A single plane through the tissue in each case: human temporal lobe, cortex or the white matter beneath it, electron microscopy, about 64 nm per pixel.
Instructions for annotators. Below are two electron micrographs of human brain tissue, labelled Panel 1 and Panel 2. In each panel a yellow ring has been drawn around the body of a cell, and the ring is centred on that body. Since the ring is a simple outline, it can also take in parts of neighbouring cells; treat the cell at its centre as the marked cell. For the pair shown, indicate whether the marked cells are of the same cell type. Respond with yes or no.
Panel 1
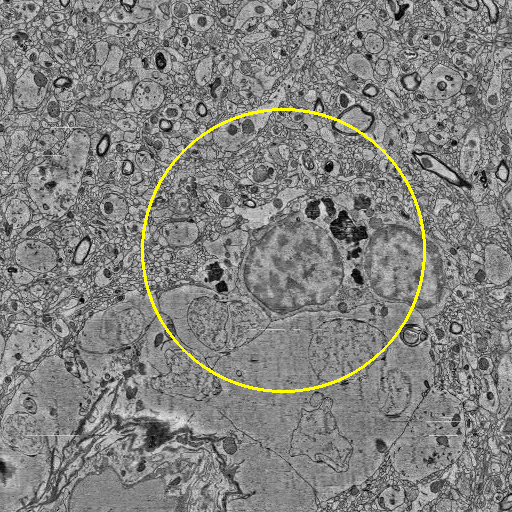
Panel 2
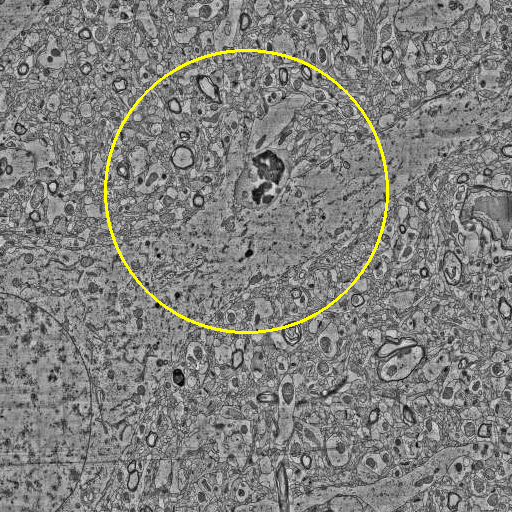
yes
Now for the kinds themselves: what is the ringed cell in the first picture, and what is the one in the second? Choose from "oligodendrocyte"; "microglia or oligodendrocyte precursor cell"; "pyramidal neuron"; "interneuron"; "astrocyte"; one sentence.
Each cell at the centre of a ring is an oligodendrocyte.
